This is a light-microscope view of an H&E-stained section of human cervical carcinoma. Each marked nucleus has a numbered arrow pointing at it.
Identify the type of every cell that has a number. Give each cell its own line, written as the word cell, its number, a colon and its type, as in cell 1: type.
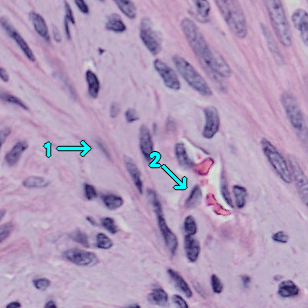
cell 1: smooth muscle cell
cell 2: endothelial cell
